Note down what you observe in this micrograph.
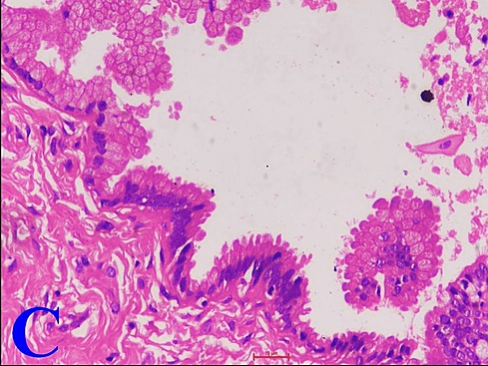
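This cyst wall is lined by columnar epithelium. Some of the tall cells have pale, foamy cytoplasm filled with mucin above small basal nuclei, and clusters of these mucin cells float in the lumen. Other stretches of the lining have darker, crowded, elongated nuclei, and all of it rests on pink fibrous stroma.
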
